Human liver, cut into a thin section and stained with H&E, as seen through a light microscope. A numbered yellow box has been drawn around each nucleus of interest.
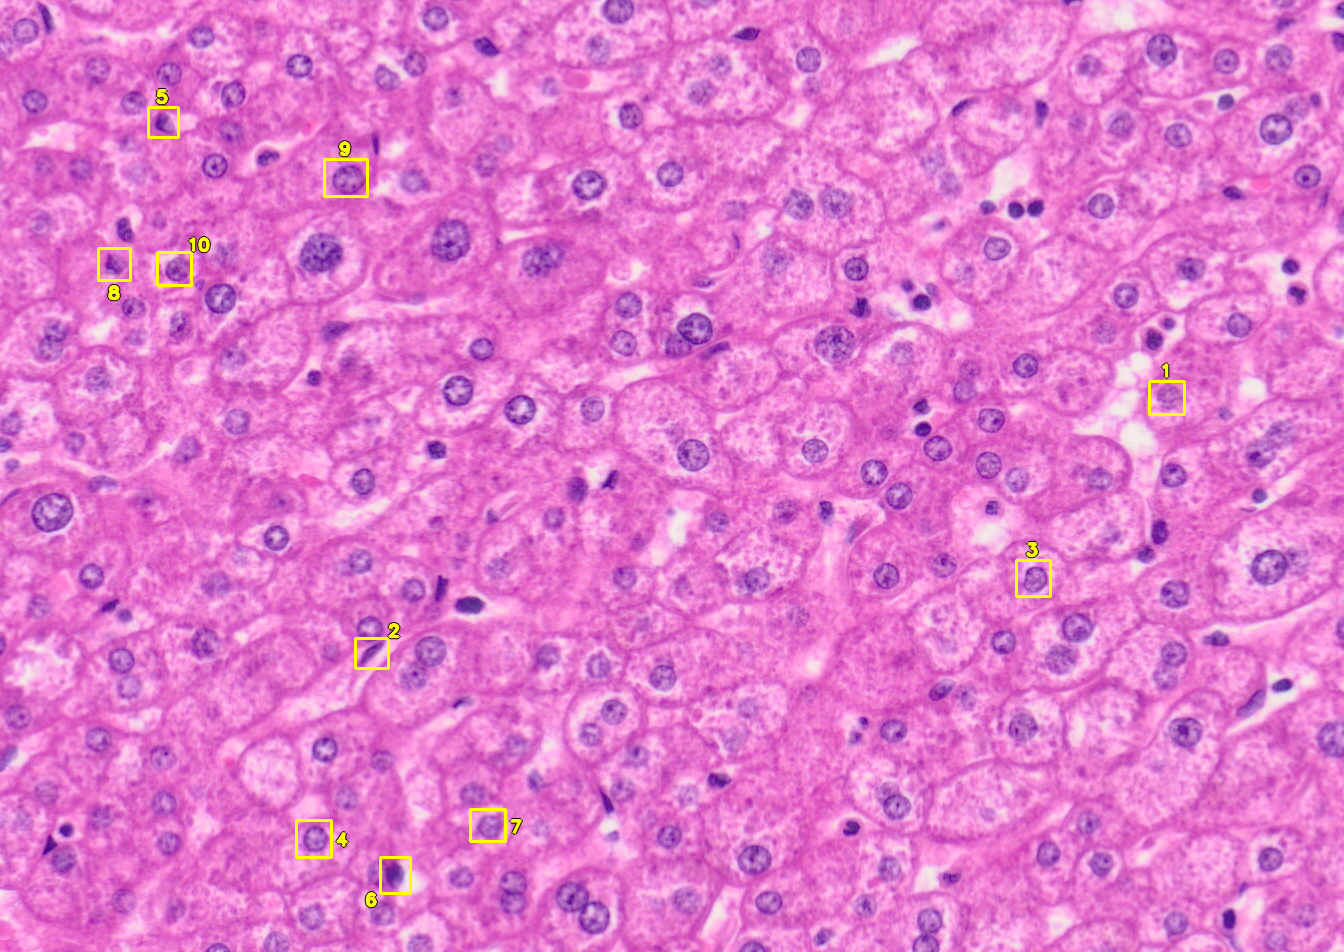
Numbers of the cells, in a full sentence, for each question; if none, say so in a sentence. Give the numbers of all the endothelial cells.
The cells picked out by numbers 5, 6 and 8 are endothelial cells.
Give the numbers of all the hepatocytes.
In short, the numbered cells 1, 3, 4, 7, 9 and 10 are hepatocytes.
